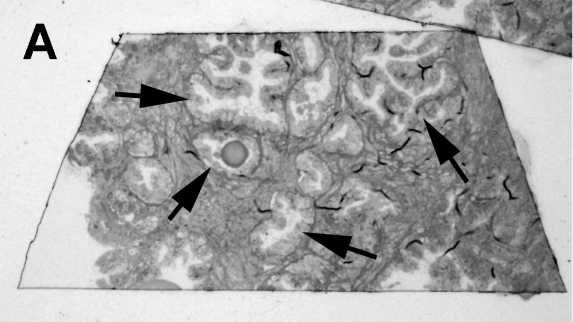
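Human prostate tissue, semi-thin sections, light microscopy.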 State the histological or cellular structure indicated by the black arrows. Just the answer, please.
Glands.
